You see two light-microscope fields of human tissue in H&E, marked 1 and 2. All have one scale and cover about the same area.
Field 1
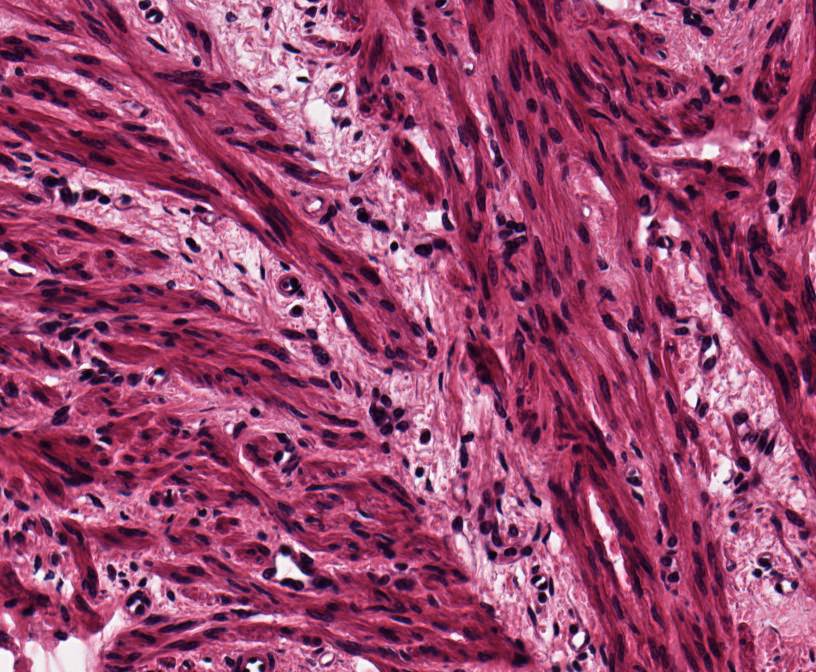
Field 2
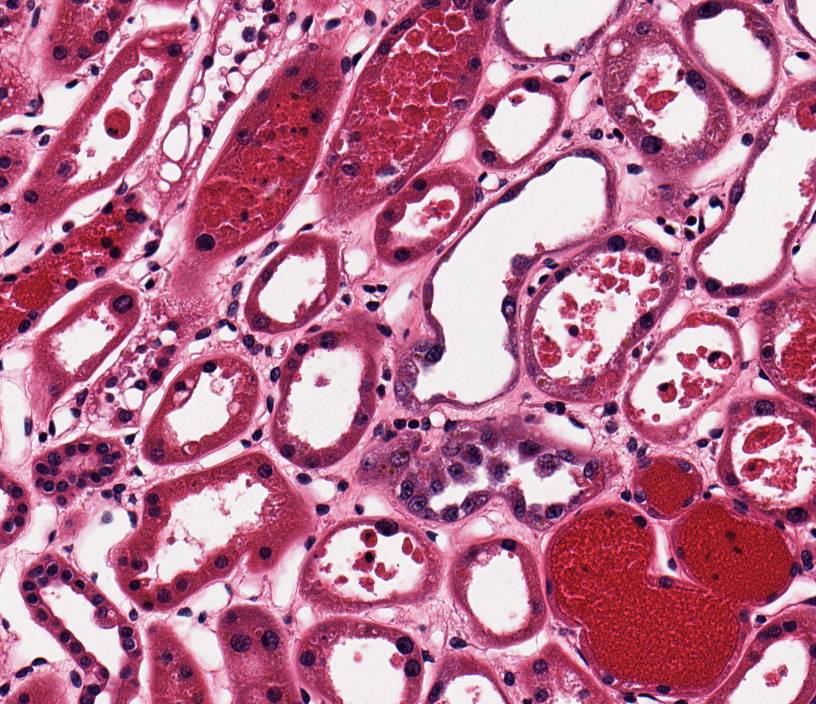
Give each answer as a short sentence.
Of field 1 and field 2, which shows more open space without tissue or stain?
It is field 2 in which white space covers the larger part.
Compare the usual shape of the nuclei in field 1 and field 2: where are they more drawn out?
On the whole the nuclei of field 1 are more drawn out than those of field 2.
